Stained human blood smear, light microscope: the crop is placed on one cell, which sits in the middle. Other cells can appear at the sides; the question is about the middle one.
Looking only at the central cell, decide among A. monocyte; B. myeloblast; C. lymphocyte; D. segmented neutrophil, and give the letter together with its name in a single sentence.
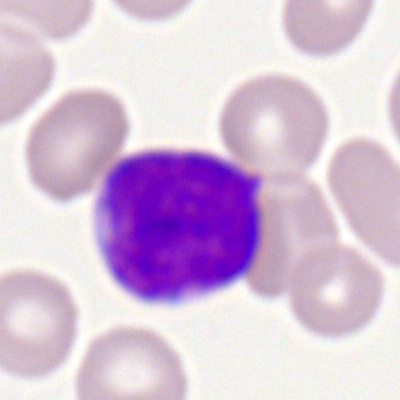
The correct choice is option B, which identifies the middle cell as a myeloblast.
